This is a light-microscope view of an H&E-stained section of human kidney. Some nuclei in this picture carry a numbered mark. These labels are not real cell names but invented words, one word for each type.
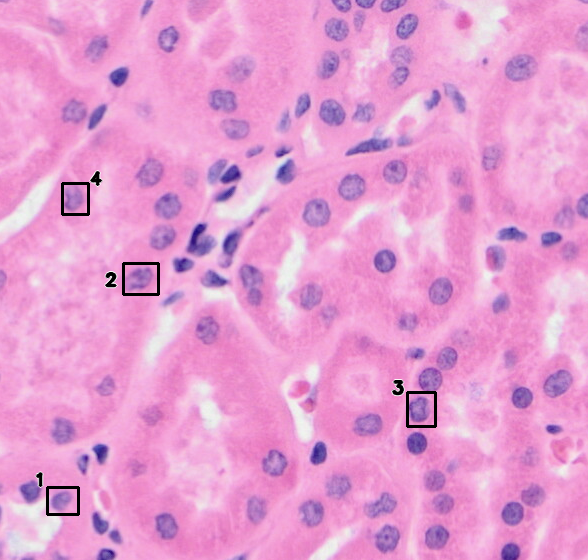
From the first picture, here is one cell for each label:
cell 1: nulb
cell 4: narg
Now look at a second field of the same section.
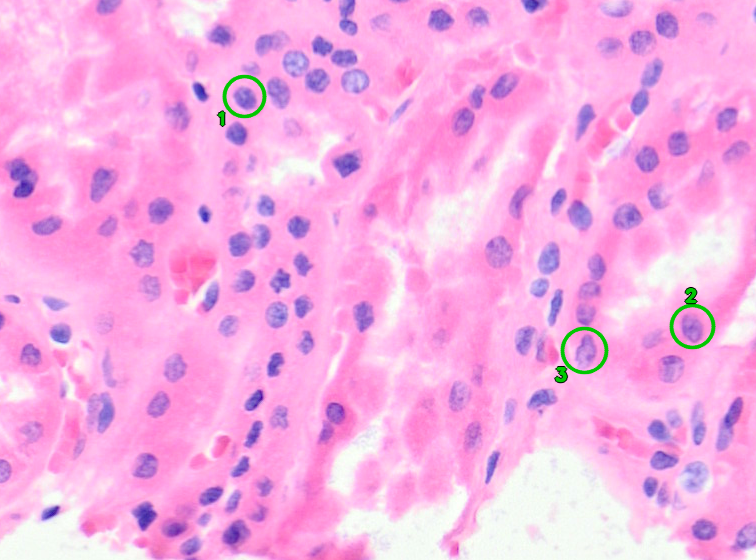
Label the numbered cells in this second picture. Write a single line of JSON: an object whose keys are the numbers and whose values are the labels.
{"1": "nulb", "2": "narg", "3": "narg"}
